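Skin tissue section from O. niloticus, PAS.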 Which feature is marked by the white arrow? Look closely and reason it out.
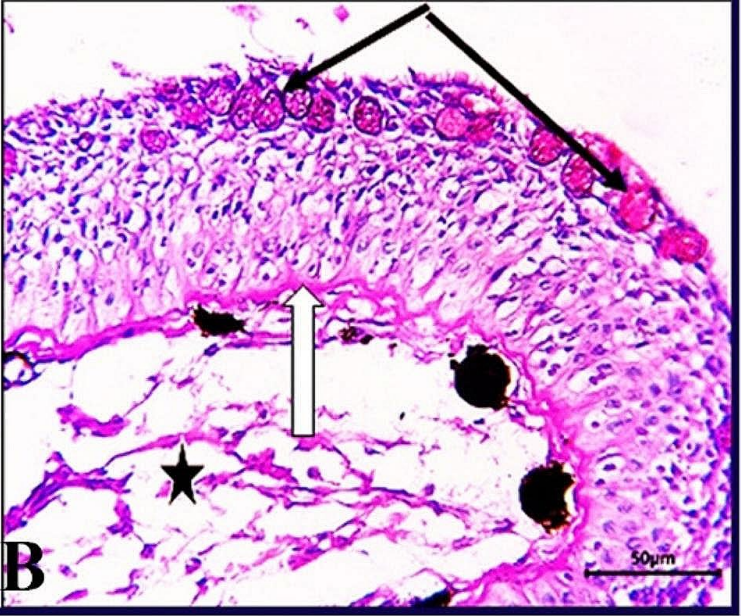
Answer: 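Basal lamina. A thin pink-magenta line runs along the base of the epithelium. It separates the cellular epithelium from the loose tissue below.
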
